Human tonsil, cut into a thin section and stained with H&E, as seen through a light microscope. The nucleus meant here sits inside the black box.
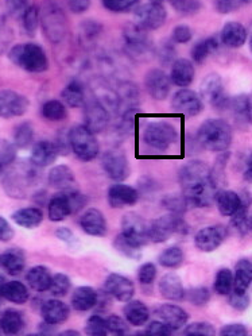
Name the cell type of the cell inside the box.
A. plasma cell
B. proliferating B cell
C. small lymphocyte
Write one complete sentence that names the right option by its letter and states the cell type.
The choice that fits is option B, as the cell inside the box is a proliferating B cell.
